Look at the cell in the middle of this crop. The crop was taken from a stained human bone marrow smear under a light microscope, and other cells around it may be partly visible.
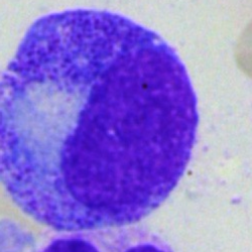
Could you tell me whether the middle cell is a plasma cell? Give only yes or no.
no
